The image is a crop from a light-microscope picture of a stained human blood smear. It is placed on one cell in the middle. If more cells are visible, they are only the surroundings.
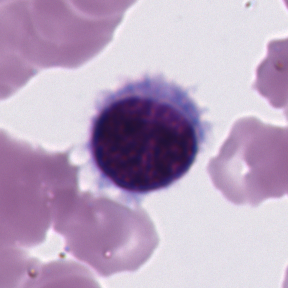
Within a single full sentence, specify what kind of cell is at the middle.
The central cell shown in this smear crop is a hairy cell.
